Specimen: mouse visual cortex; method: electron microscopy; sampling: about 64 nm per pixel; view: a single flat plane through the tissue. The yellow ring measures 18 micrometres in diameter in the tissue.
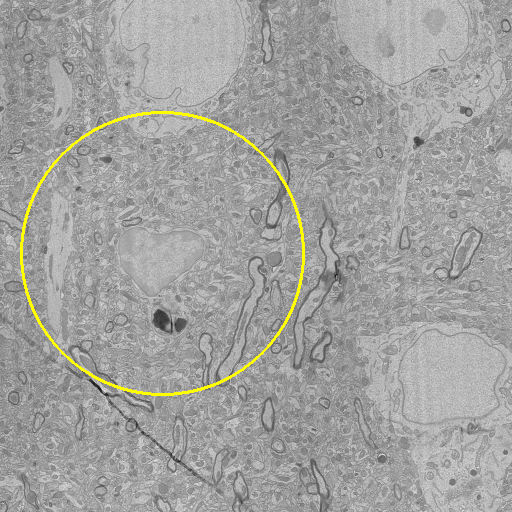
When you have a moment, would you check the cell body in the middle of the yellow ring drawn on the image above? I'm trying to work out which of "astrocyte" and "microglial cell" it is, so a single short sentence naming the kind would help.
This cell body belongs to a microglial cell.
